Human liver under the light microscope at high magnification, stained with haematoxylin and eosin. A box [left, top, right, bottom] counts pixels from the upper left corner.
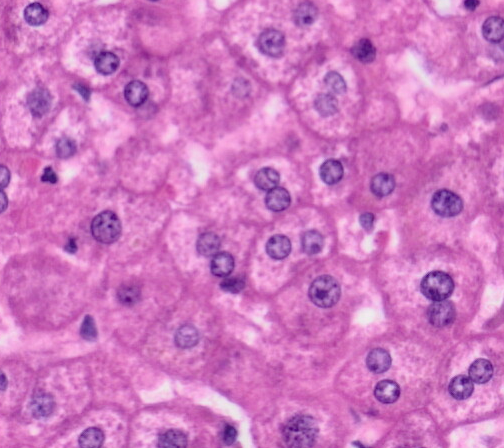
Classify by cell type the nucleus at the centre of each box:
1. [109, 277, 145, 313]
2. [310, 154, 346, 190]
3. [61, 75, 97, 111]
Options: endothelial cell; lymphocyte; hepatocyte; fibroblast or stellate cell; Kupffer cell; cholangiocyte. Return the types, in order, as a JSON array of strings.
["hepatocyte", "hepatocyte", "endothelial cell"]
